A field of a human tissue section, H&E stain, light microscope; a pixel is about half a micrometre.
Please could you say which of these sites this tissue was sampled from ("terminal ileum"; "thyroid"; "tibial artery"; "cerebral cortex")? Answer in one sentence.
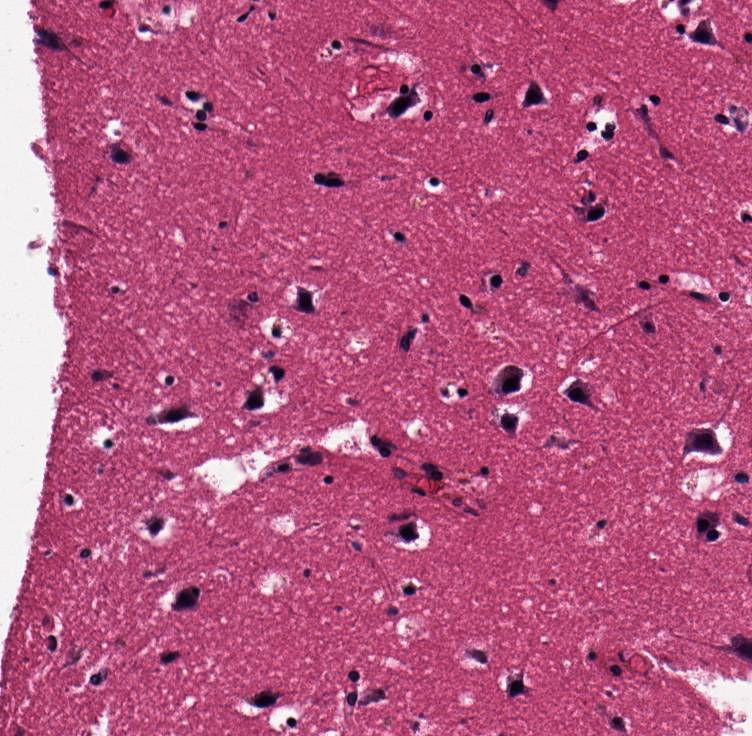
The site this tissue was sampled from is the cerebral cortex.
